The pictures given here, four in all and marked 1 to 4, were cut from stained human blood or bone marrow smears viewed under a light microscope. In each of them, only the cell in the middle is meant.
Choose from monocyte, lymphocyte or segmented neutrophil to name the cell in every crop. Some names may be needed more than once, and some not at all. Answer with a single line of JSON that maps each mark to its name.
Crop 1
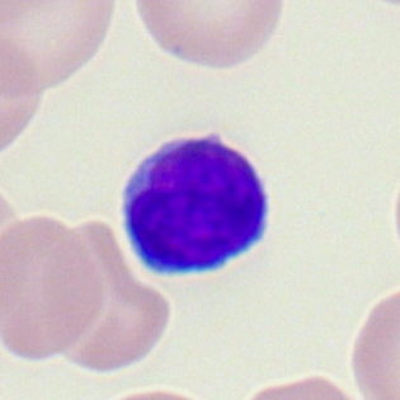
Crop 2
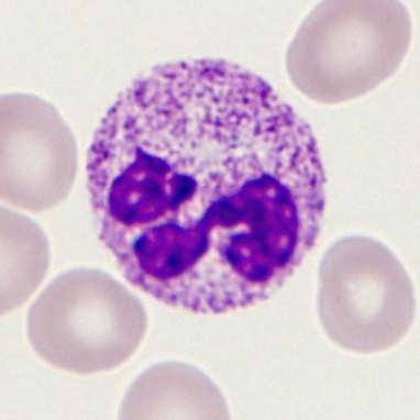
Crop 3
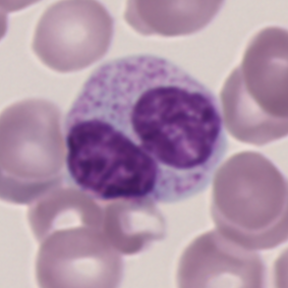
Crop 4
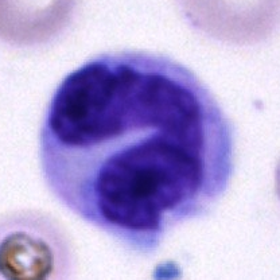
{"1": "lymphocyte", "2": "segmented neutrophil", "3": "segmented neutrophil", "4": "monocyte"}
